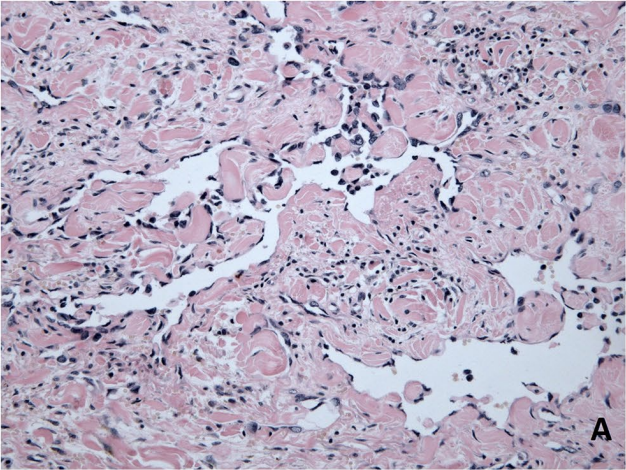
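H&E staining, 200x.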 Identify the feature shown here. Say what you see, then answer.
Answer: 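Narrow, irregular, interconnecting empty spaces run through pink collagenous stroma. The spaces branch and anastomose in a net-like pattern. A few red blood cells lie within some spaces. On this evidence: branching vascular channels.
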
